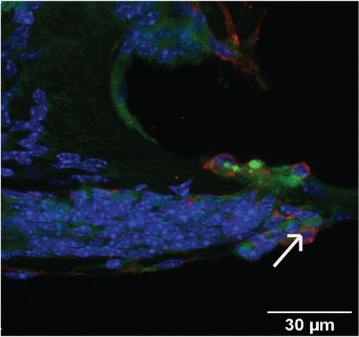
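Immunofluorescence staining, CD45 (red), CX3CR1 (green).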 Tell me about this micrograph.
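The lower part of the field is a dense tissue packed with crowded round and oval blue nuclei, with a thin green-stained membrane extending above it into an empty space. At the edge of the dense tissue, near the arrow, lie rounded immune cells whose outlines are stained red, some with green cytoplasm. A few bright green round bodies and red-rimmed cells cluster along the upper surface of the tissue.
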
